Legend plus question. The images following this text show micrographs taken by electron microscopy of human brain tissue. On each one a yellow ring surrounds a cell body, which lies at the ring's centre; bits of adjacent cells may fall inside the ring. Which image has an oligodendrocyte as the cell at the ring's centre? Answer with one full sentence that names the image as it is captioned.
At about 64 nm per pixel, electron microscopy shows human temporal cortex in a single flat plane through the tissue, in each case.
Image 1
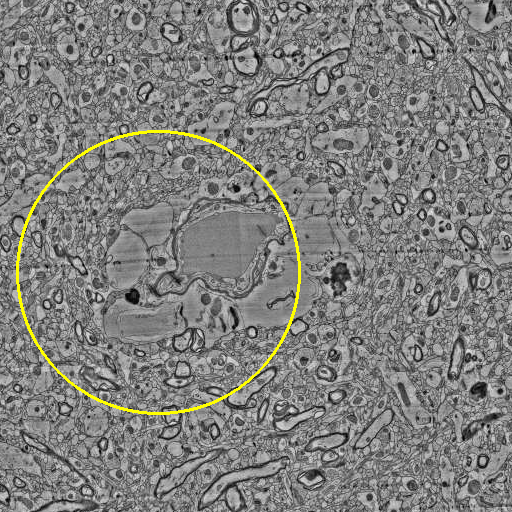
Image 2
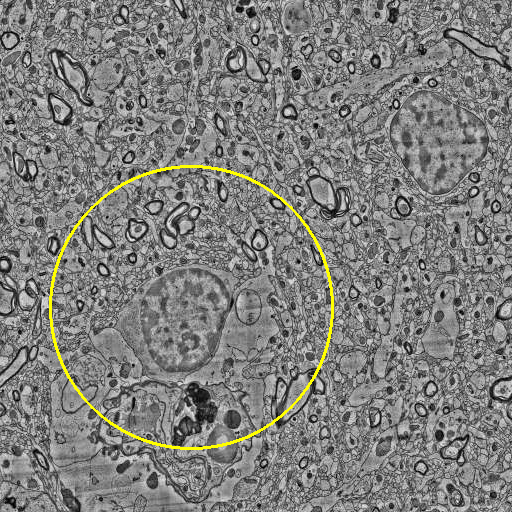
The centred cell that was asked for is the one in Image 2.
